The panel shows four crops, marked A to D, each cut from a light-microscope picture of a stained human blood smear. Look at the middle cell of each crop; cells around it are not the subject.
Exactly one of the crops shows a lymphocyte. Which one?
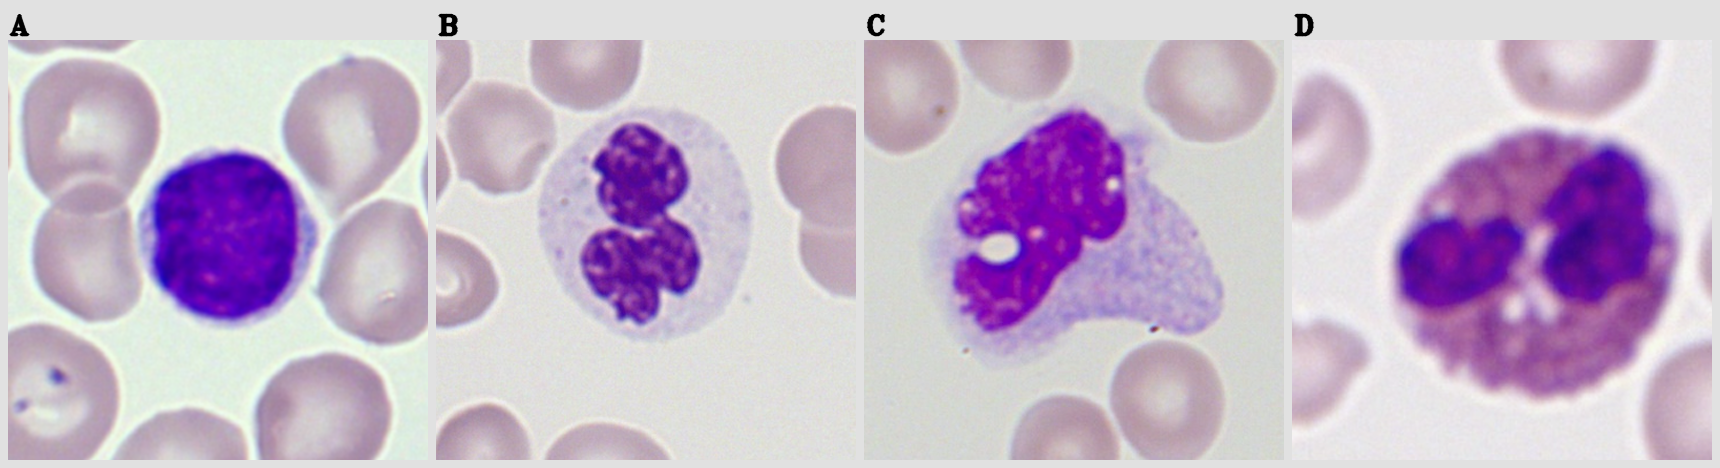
A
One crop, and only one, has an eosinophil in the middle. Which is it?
D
